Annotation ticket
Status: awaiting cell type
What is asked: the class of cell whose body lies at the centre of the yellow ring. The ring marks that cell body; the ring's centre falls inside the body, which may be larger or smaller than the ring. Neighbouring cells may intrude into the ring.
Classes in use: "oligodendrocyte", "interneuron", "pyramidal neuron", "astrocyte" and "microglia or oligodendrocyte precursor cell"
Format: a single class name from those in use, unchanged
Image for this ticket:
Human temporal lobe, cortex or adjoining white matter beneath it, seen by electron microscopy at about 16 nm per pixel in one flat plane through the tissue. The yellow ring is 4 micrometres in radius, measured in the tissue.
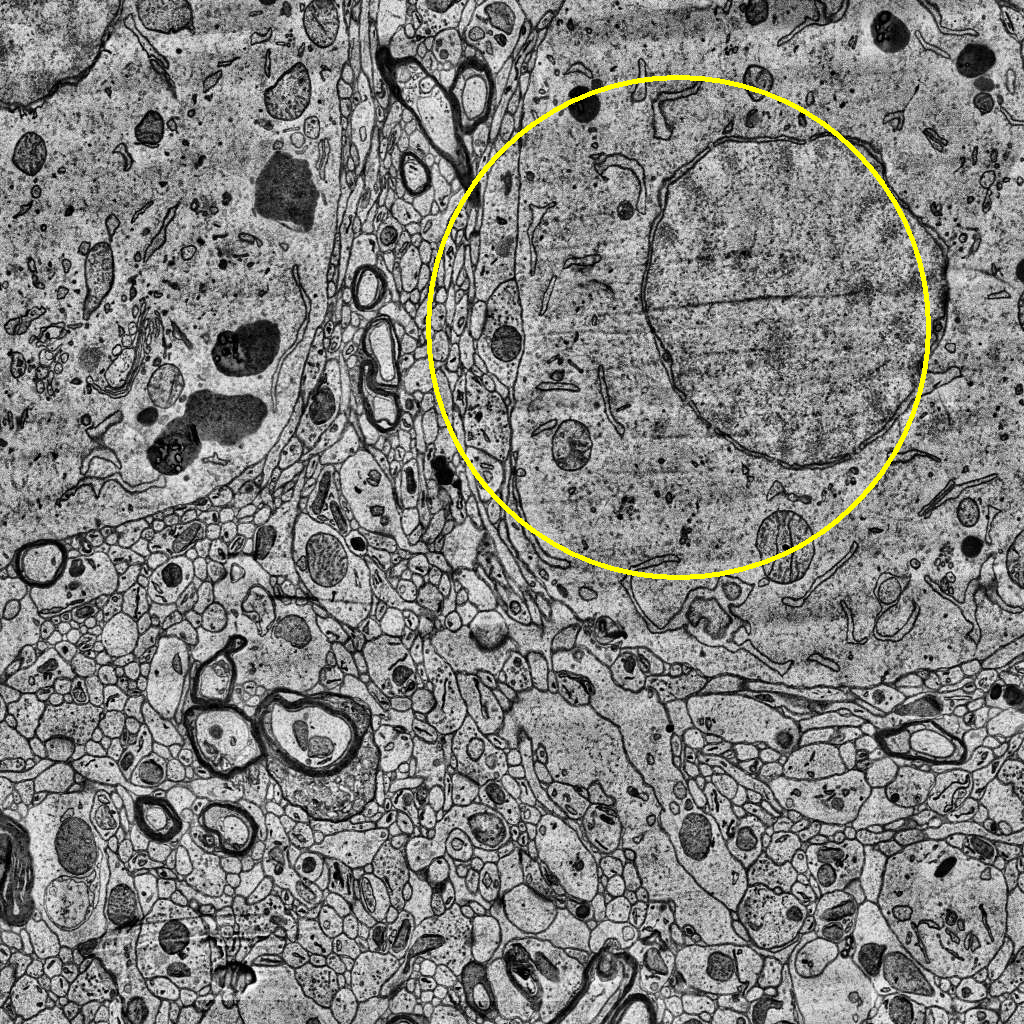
microglia or oligodendrocyte precursor cell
